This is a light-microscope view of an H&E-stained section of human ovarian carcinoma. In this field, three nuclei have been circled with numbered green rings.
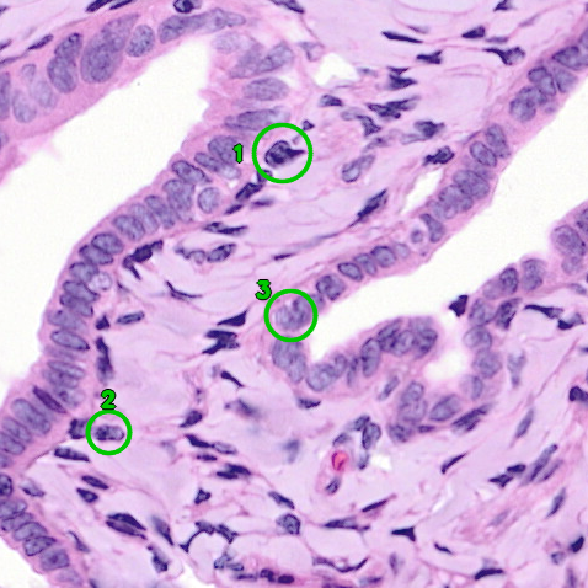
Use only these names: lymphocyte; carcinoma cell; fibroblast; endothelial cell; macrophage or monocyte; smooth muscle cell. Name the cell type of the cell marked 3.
carcinoma cell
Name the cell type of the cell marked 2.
lymphocyte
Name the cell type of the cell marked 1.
lymphocyte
